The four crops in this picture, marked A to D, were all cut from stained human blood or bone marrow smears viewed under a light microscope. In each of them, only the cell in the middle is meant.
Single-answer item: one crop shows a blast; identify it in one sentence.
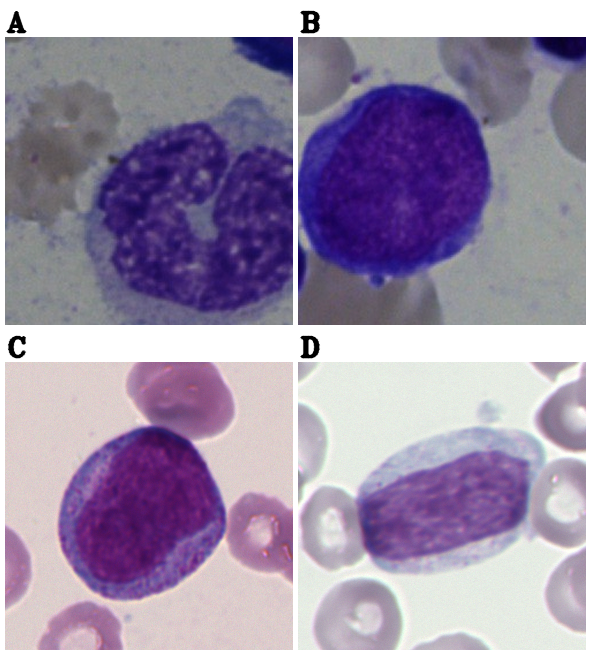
Crop B is the correct crop, and it shows a blast.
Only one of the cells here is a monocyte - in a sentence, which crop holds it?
Crop A is the crop that displays a monocyte.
